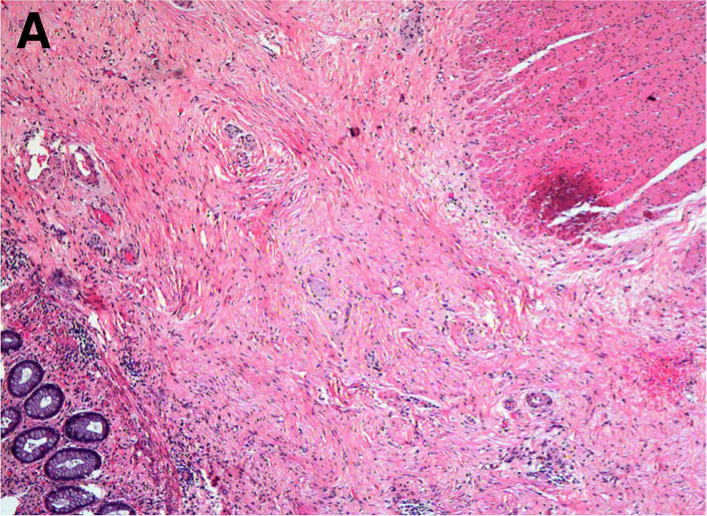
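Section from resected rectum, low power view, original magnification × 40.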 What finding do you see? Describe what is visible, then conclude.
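Most of the field is taken up by pale pink, wavy fibrous tissue. The fibrous tissue lies between the mucosal glands at the lower left and the dense pink muscle at the upper right. Spindle-shaped nuclei are scattered through the fibrous tissue. That points to this answer: fibrosis.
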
